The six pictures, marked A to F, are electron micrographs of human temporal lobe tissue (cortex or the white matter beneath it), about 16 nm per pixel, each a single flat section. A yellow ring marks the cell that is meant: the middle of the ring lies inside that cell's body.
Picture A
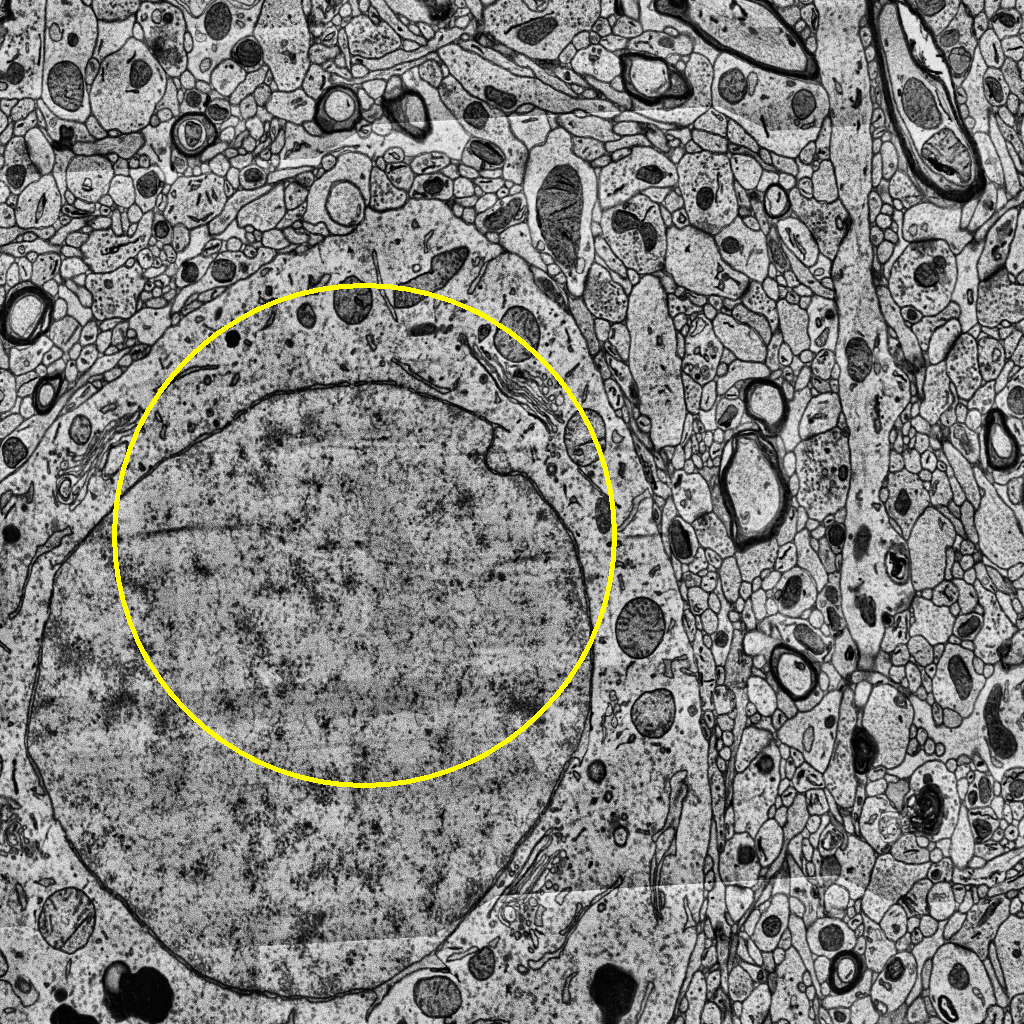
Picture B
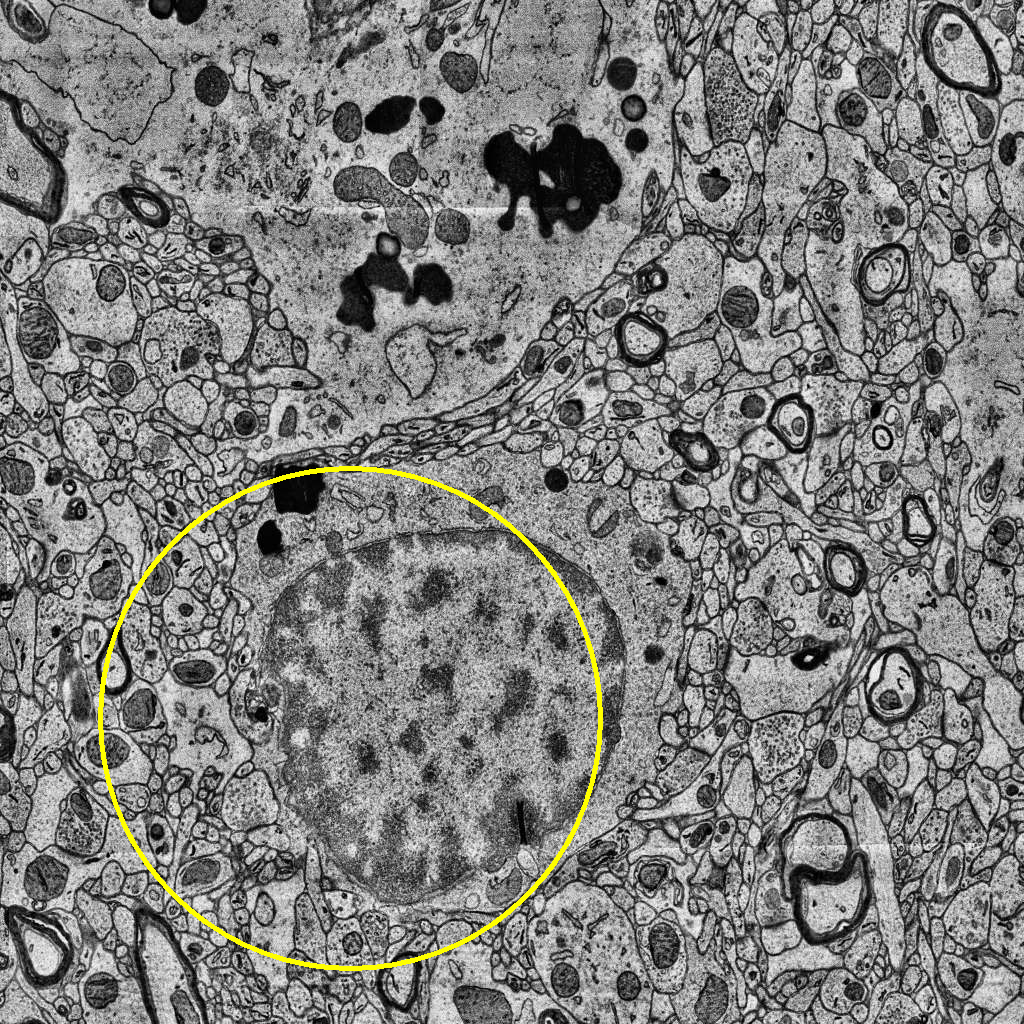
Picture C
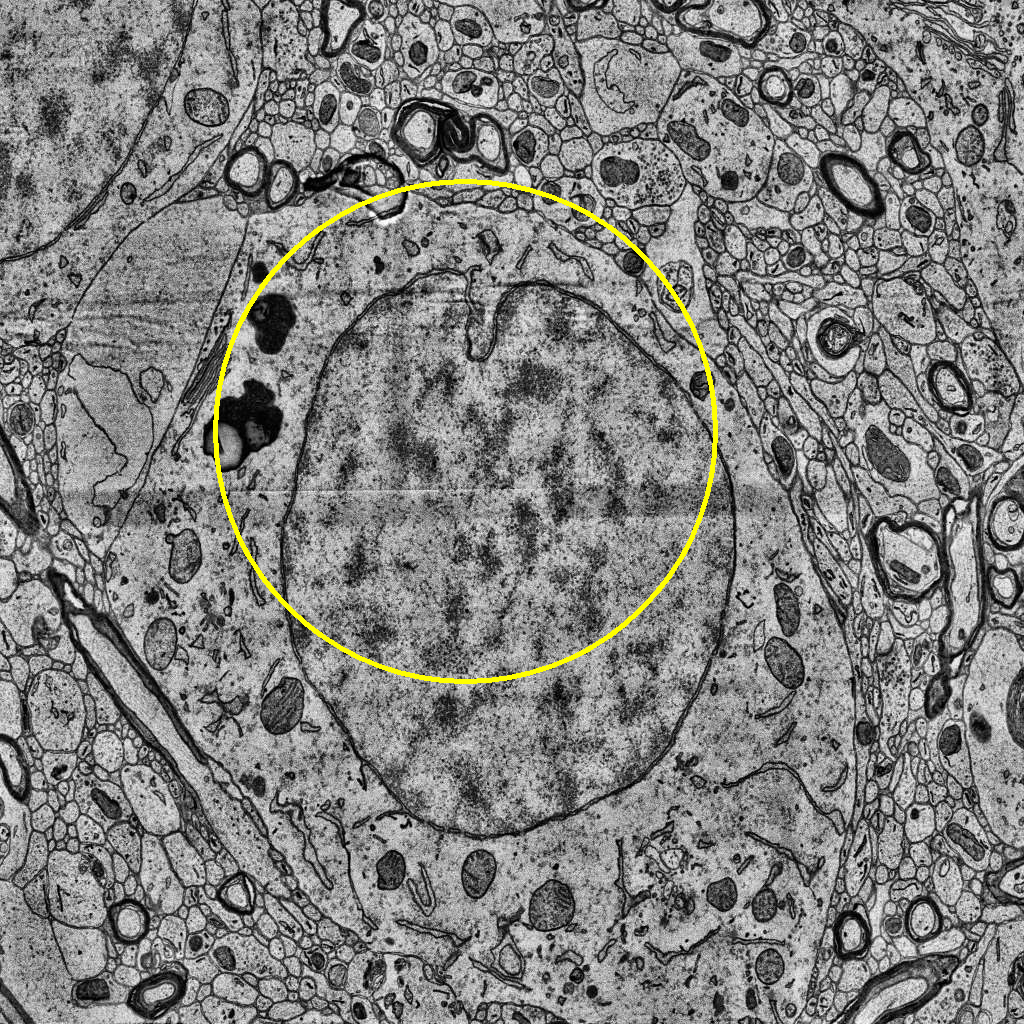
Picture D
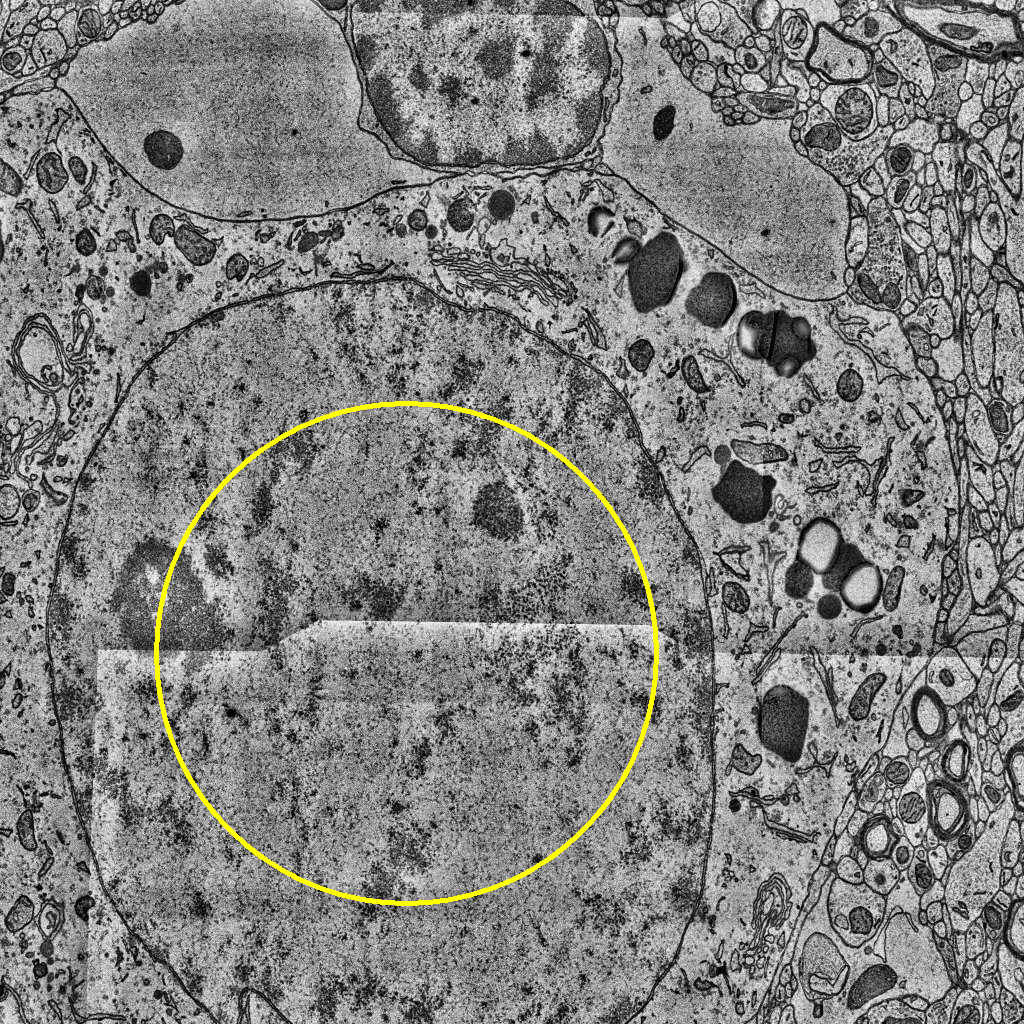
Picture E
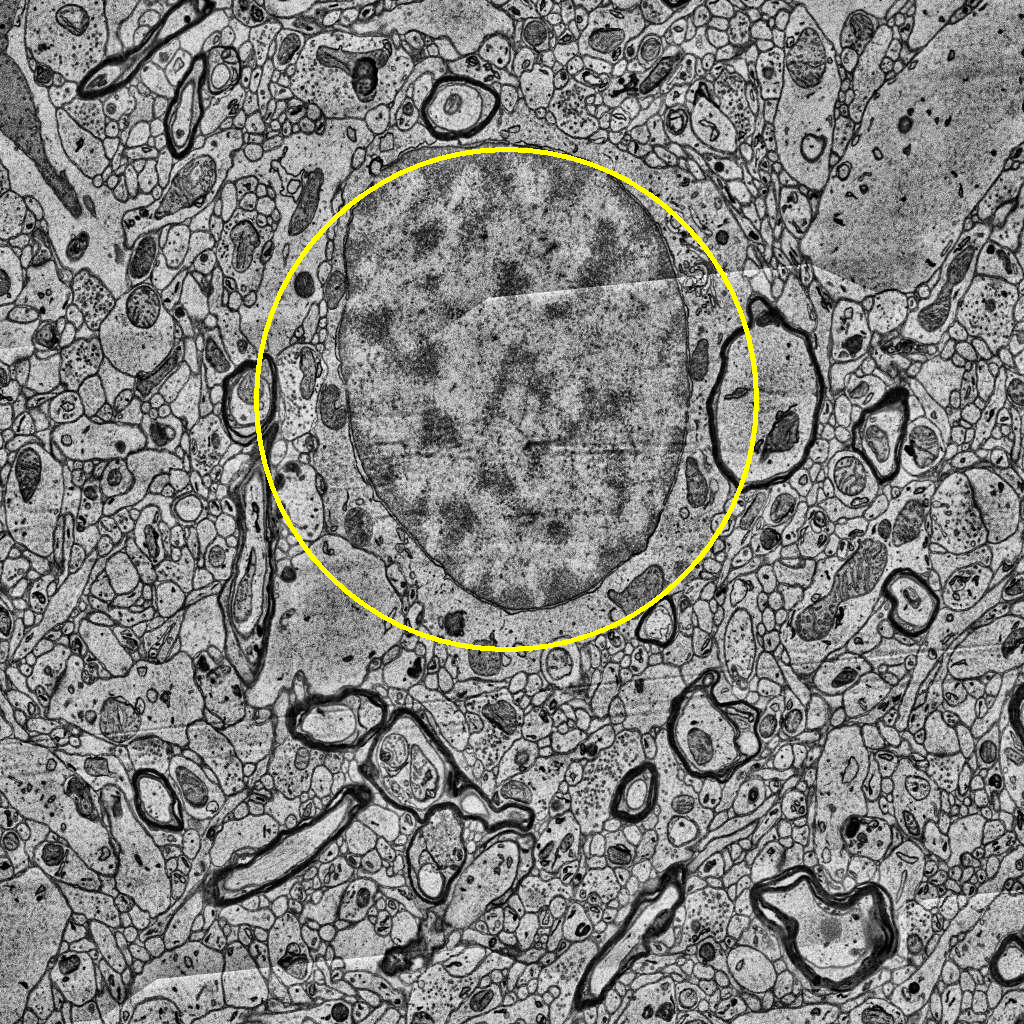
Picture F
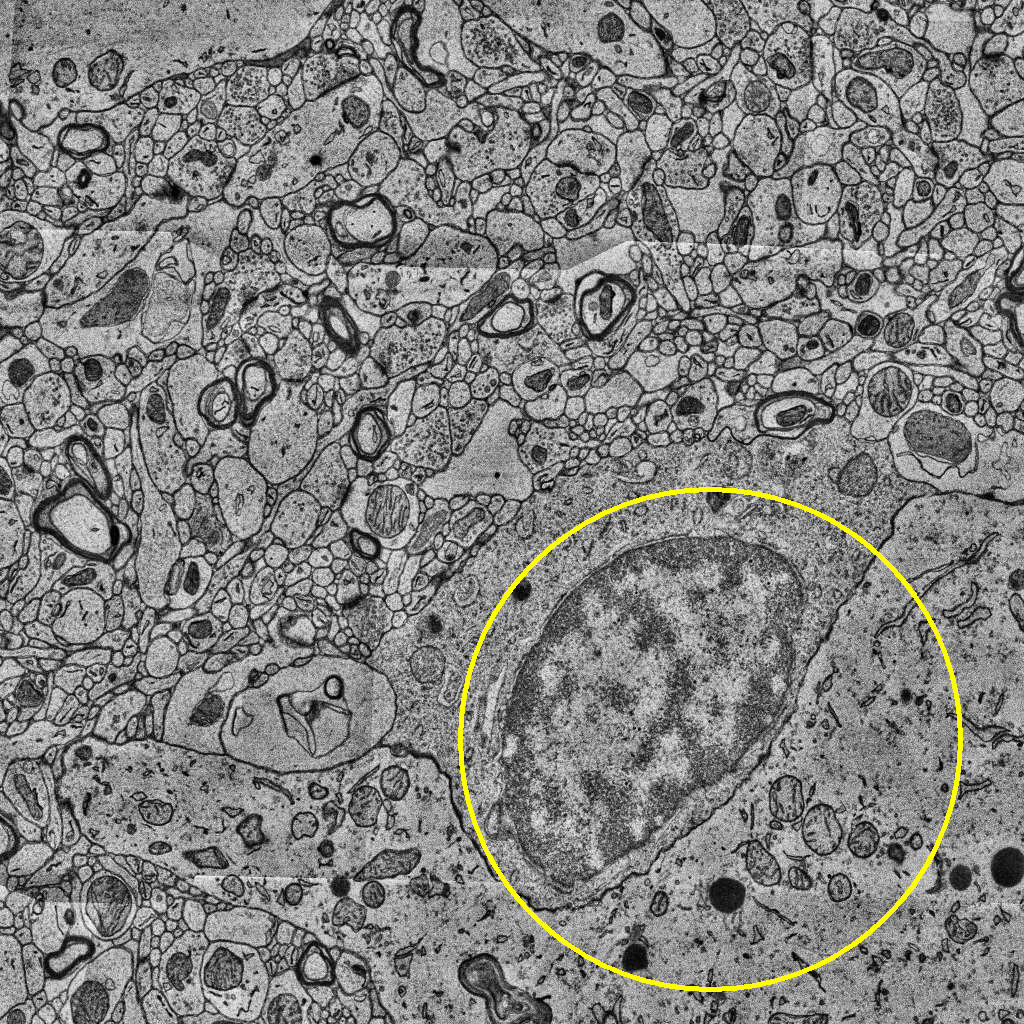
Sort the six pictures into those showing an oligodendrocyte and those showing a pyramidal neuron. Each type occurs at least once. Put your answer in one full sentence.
Pictures B, E and F show oligodendrocytes; pictures A, C and D show pyramidal neurons.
